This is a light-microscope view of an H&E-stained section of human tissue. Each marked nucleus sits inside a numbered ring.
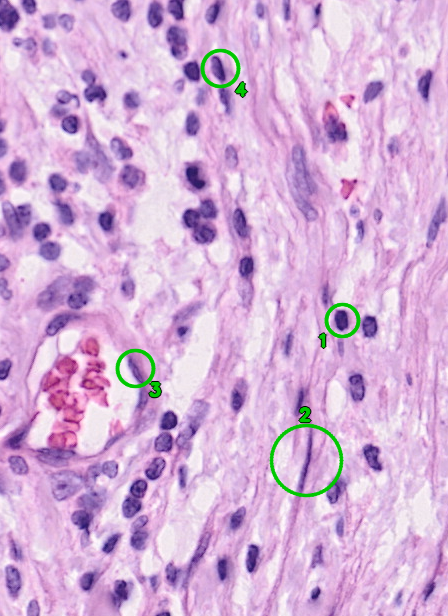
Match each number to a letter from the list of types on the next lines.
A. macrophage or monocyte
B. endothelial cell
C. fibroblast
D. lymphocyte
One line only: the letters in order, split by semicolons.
D; C; B; D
